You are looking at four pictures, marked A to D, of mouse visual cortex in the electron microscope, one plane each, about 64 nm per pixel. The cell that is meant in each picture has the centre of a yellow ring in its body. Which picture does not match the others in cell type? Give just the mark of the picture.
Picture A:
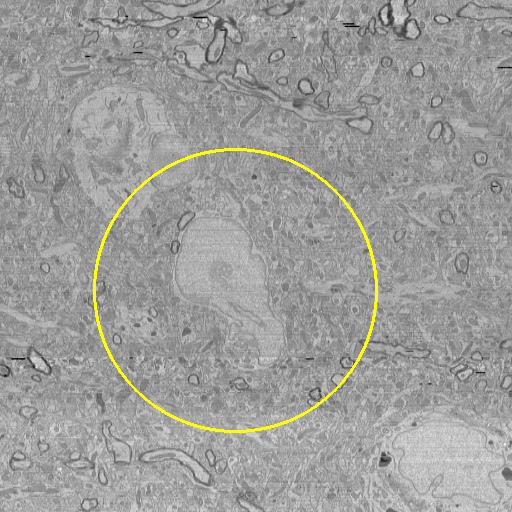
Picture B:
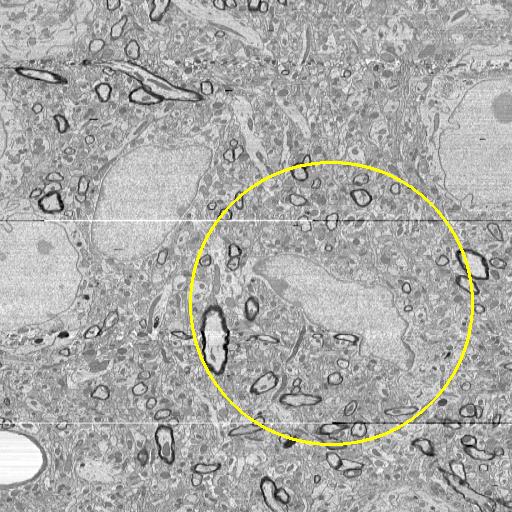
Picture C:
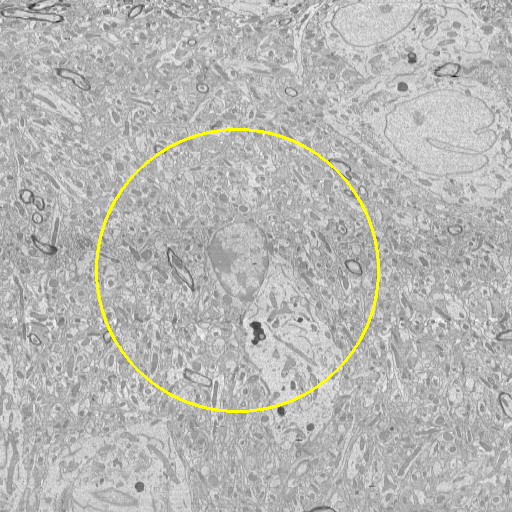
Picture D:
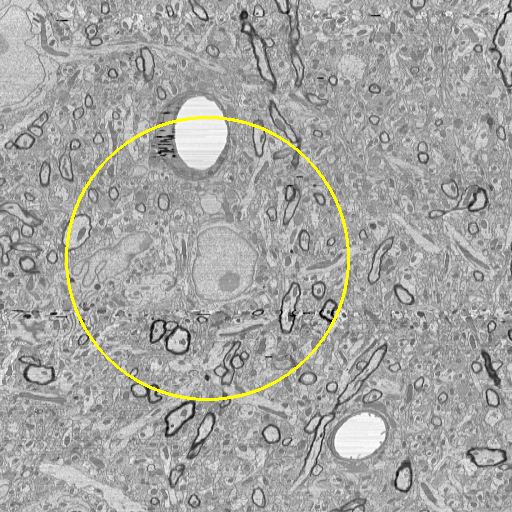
C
